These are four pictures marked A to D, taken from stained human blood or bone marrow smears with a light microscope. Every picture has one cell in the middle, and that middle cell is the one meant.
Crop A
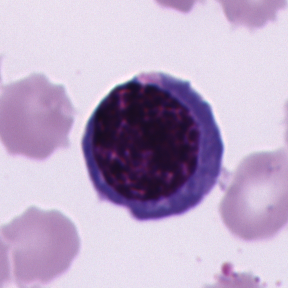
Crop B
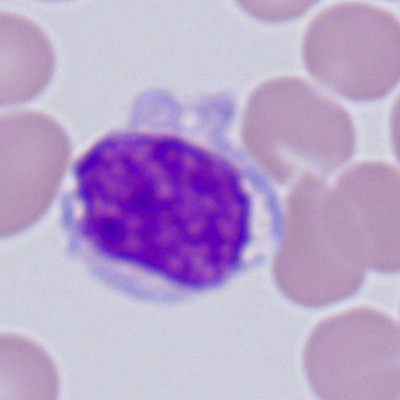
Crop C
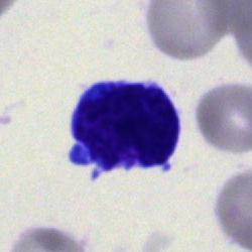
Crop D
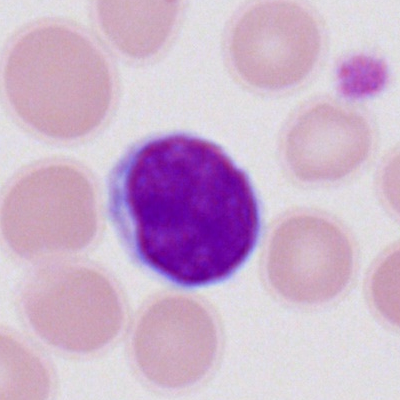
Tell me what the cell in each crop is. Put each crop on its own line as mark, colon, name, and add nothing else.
A: erythroblast
B: lymphocyte
C: blast
D: lymphocyte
